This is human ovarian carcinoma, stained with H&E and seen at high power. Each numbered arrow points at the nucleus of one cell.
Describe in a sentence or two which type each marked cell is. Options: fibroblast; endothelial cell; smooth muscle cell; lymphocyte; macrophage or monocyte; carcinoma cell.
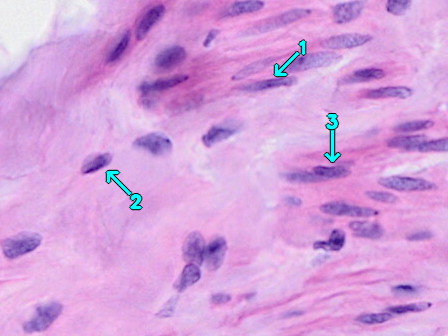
Cell 1 is a smooth muscle cell, cell 2 is a fibroblast and cell 3 is a smooth muscle cell.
